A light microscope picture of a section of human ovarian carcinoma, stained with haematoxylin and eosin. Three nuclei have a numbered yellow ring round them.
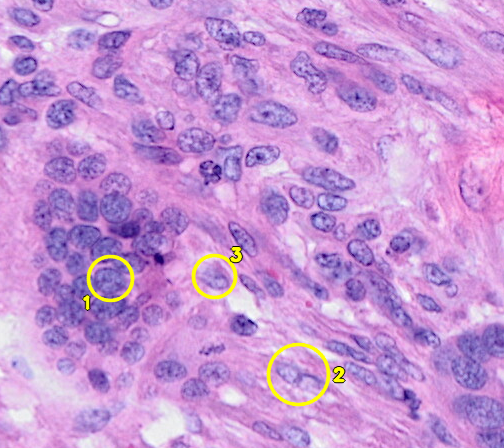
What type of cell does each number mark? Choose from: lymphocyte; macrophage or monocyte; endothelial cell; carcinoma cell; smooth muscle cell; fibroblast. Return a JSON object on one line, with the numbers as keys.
{"1": "carcinoma cell", "2": "fibroblast", "3": "fibroblast"}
